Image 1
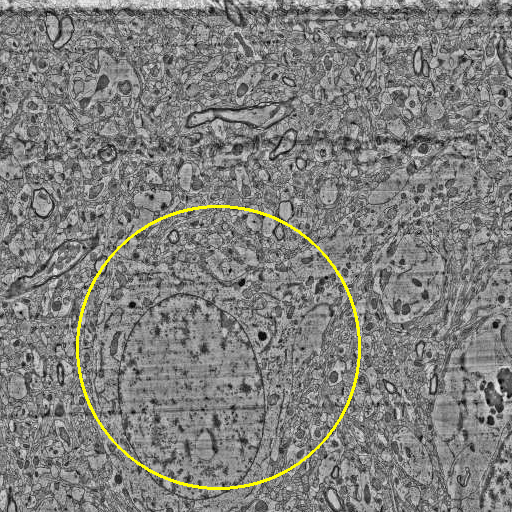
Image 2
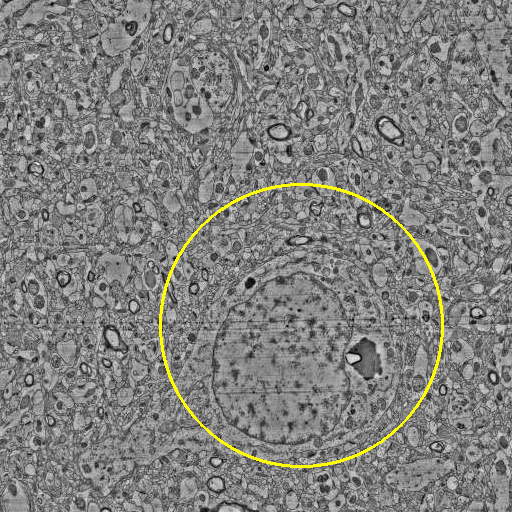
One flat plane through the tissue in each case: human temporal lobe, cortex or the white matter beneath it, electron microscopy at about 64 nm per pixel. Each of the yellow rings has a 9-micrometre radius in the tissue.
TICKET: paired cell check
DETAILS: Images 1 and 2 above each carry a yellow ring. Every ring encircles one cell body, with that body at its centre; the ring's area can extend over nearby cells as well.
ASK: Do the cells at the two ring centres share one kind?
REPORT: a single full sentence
No, the ring-centre cells of Images 1 and 2 belong to two kinds.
